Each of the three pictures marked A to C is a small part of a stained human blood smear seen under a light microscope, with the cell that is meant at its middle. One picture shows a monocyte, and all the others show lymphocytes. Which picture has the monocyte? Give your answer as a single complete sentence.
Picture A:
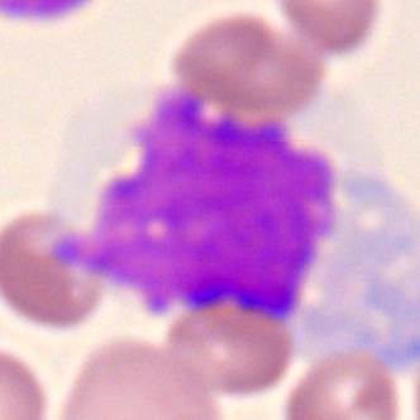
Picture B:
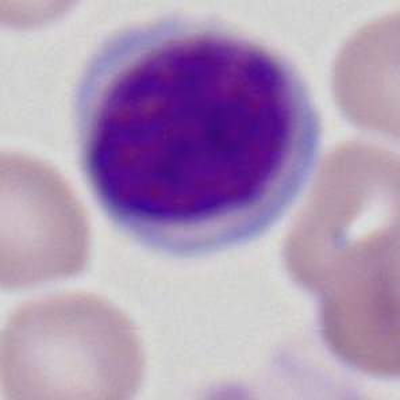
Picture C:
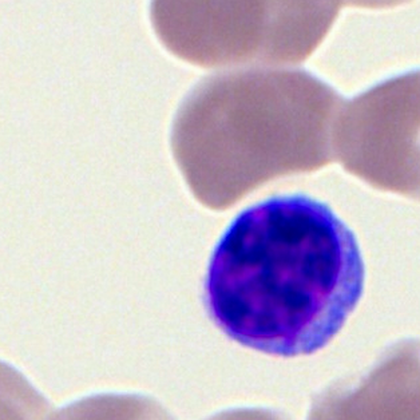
Picture A shows the monocyte.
